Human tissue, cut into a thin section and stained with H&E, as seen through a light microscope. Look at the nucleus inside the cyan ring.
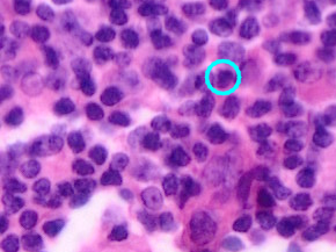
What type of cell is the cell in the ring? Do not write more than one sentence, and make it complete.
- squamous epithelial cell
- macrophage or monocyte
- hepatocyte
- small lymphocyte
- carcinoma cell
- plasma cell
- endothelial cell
For the purposes of cell typing, the cell in the ring is categorized as a small lymphocyte.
